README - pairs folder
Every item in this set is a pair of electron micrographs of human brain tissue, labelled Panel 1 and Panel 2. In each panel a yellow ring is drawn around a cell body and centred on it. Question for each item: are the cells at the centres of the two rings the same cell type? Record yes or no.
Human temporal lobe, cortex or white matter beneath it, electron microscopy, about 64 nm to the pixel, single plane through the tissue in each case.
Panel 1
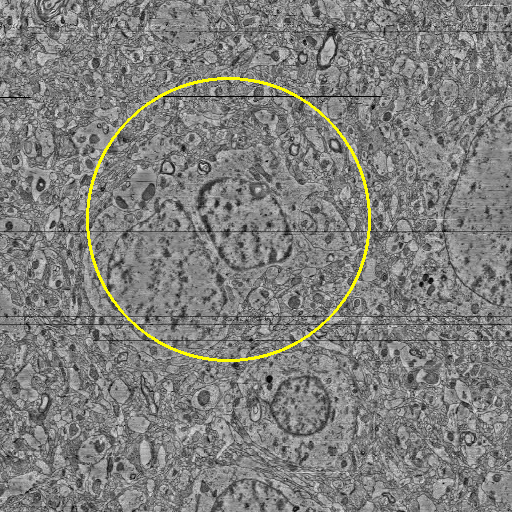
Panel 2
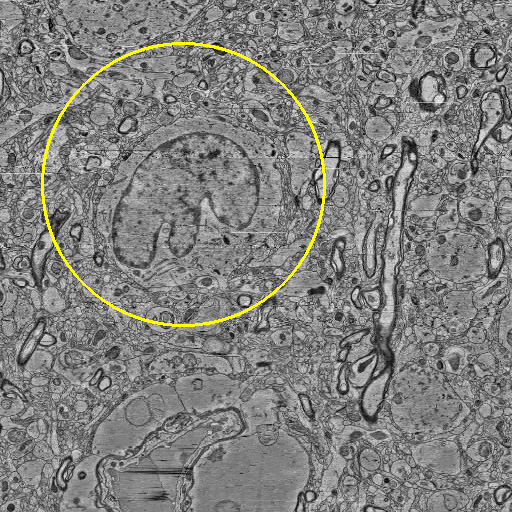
yes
